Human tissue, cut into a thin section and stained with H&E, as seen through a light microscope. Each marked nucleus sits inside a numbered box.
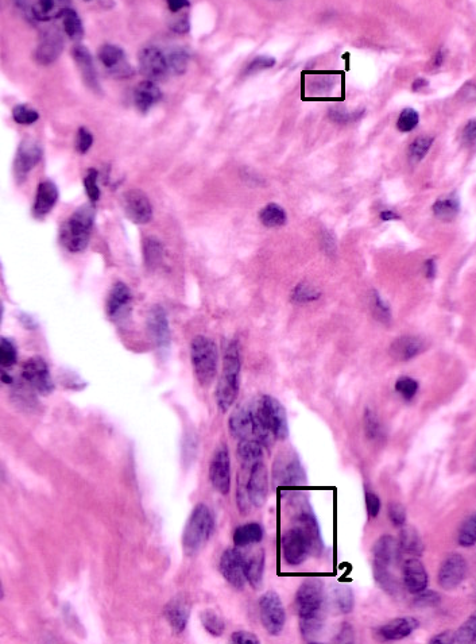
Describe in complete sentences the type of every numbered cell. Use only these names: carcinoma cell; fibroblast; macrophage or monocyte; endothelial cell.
Cell 1 is a fibroblast and cell 2 is a carcinoma cell.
